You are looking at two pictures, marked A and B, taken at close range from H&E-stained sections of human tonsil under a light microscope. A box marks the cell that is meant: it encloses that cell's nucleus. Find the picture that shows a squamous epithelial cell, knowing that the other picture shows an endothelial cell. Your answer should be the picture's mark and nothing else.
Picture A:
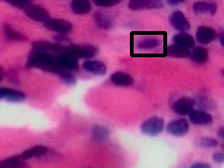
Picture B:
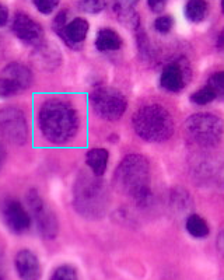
B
